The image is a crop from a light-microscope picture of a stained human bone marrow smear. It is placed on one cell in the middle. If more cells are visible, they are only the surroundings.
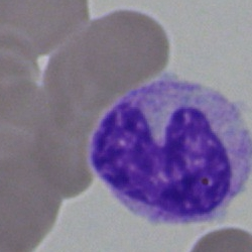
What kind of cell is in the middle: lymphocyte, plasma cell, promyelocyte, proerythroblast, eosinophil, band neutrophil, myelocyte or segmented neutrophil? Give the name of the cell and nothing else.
band neutrophil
